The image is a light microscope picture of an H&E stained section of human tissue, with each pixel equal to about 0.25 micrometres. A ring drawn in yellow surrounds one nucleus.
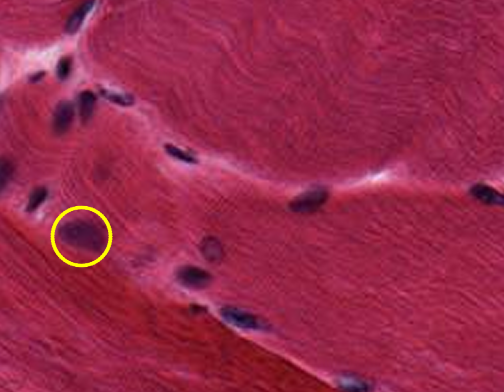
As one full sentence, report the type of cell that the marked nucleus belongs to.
To a skeletal muscle fibre belongs the marked nucleus.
